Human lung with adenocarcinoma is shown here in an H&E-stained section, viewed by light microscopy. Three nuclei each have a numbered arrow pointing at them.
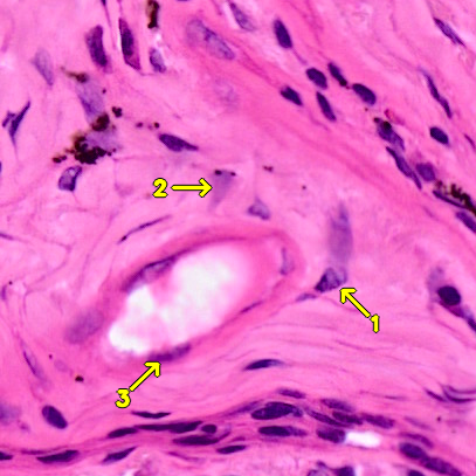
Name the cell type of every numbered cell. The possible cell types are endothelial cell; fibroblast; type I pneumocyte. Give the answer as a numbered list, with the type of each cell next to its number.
1. fibroblast
2. fibroblast
3. endothelial cell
